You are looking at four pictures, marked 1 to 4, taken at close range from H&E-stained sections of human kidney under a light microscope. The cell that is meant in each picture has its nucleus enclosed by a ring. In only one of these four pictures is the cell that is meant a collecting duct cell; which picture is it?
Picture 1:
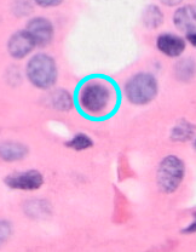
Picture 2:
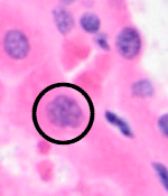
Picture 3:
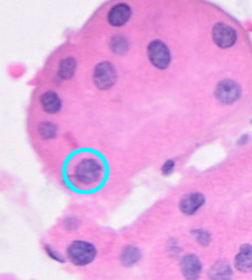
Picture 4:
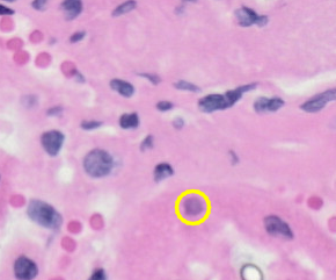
1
